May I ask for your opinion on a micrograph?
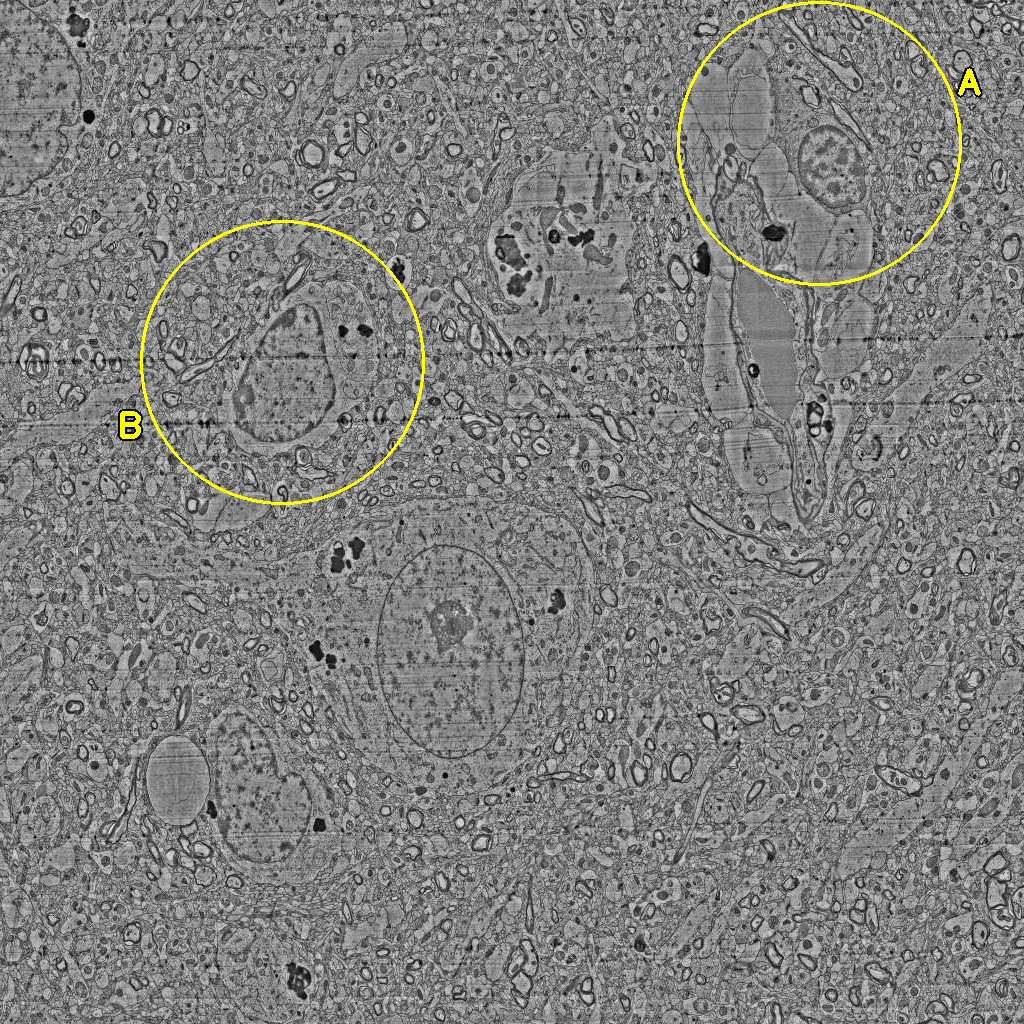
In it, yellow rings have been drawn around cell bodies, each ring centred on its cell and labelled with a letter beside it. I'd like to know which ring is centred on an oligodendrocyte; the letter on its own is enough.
A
